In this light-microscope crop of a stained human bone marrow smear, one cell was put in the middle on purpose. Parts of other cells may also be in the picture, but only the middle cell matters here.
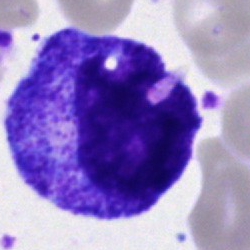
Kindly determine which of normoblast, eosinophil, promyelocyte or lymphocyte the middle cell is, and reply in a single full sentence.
At the middle of the frame sits a promyelocyte.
